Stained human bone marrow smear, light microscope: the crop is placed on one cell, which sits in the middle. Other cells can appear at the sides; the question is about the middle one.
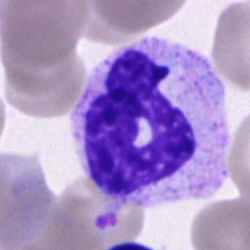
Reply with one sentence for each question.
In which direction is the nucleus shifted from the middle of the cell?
The nucleus lies toward the left of the cell.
